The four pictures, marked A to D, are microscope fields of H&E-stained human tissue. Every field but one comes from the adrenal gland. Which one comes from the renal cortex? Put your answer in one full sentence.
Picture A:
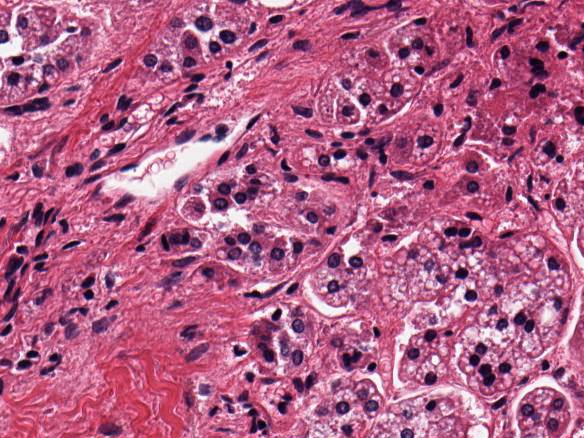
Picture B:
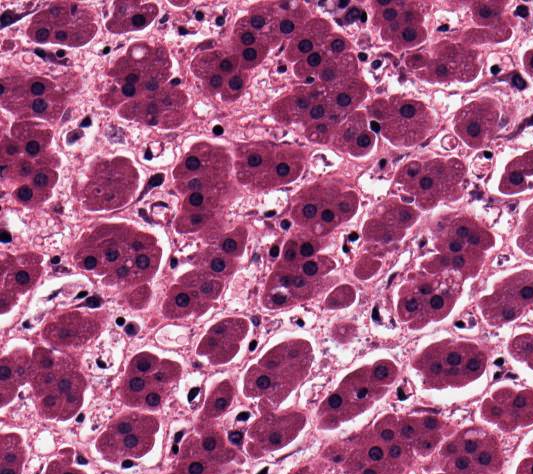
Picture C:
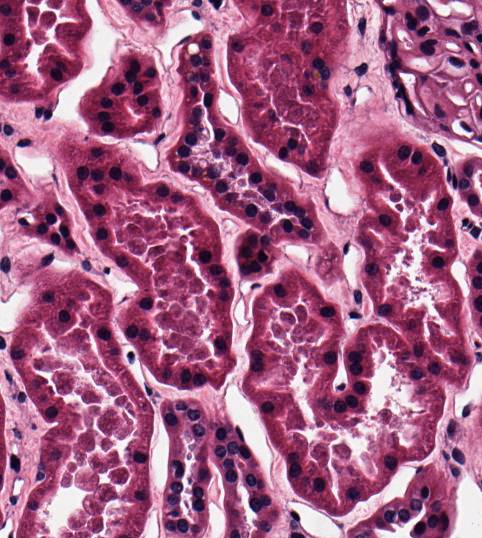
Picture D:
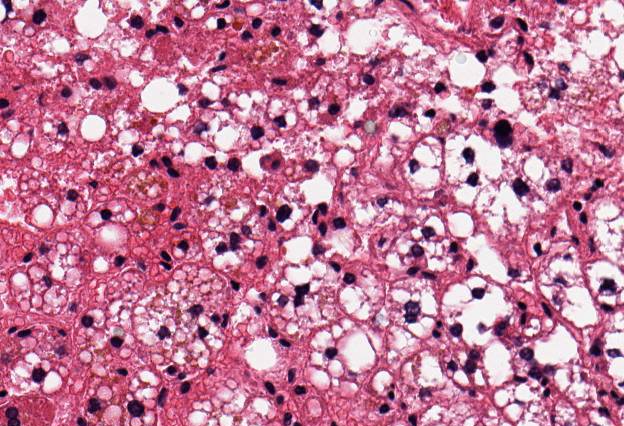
Picture C comes from the renal cortex.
